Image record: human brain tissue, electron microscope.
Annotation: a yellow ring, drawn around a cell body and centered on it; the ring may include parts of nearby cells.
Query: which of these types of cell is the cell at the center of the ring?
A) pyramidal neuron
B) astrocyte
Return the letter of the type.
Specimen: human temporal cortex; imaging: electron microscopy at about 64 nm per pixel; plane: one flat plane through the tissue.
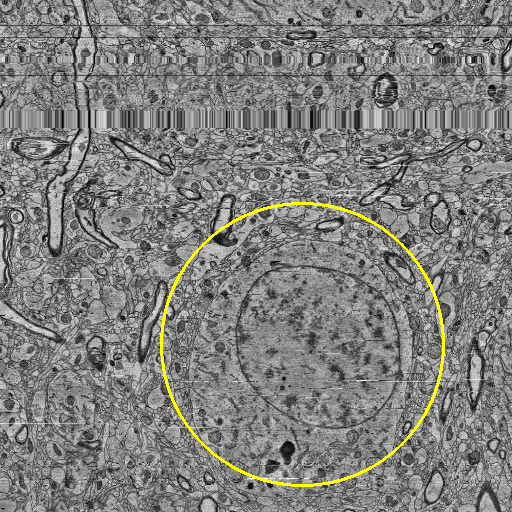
A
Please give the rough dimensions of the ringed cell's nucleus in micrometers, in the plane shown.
About 11 micrometres across in this plane, for the nucleus.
